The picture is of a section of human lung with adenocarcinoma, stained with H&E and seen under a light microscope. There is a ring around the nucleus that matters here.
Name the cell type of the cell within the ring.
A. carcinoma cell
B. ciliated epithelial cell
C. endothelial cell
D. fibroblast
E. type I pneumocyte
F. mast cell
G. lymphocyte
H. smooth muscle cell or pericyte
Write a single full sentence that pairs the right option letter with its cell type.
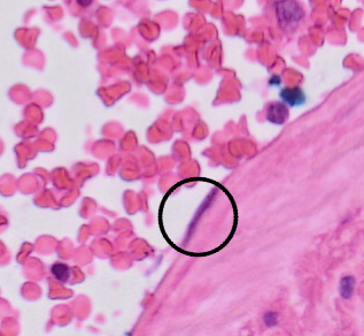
Option C gets it right: the cell within the ring is an endothelial cell.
